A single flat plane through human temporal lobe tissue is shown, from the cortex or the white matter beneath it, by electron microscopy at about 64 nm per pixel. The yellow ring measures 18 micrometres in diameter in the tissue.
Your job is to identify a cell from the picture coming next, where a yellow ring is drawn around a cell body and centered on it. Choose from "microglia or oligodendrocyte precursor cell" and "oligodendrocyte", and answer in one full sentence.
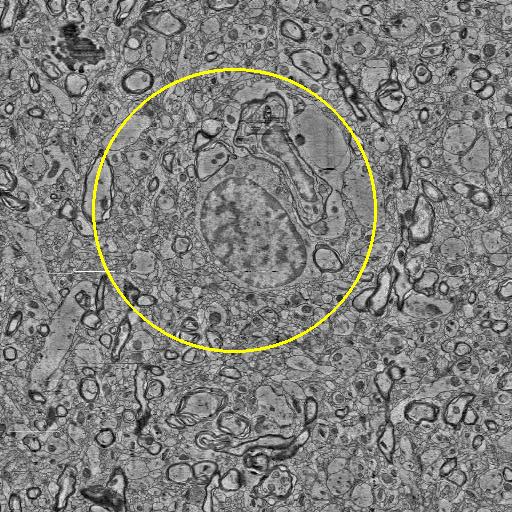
Centered in the yellow ring of the picture is the body of an oligodendrocyte.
